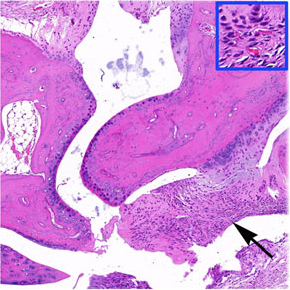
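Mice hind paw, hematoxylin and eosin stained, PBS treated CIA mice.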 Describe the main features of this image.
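The bone marrow spaces hold pale, fatty tissue. Along the lower edge of the joint, where the arrow points, the lining tissue has grown into a thick band that is densely purple because it is packed with small cells with dark nuclei: this is hyperplastic synovium.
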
